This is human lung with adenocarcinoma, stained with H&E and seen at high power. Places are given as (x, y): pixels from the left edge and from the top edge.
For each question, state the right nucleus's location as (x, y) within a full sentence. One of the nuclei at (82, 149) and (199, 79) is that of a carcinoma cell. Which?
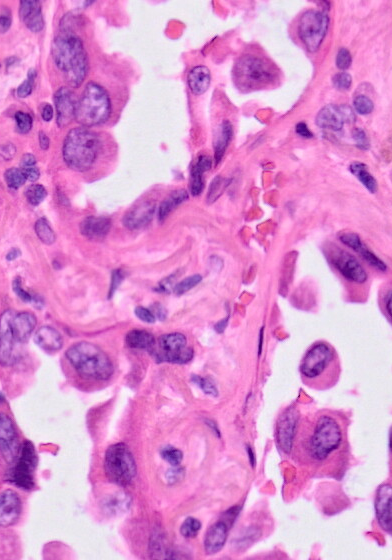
Of the pair, the nucleus positioned at (82, 149) is that of a carcinoma cell.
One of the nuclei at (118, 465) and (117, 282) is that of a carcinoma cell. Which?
Only the nucleus at (118, 465), of the two, belongs to a carcinoma cell.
